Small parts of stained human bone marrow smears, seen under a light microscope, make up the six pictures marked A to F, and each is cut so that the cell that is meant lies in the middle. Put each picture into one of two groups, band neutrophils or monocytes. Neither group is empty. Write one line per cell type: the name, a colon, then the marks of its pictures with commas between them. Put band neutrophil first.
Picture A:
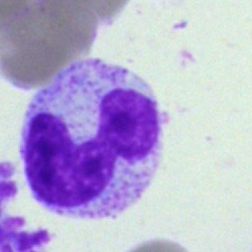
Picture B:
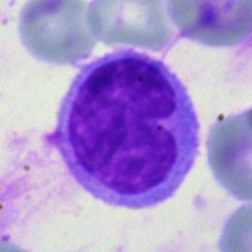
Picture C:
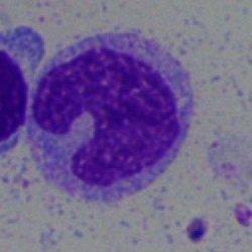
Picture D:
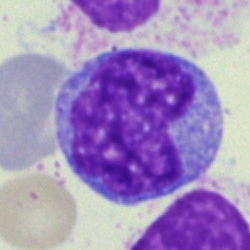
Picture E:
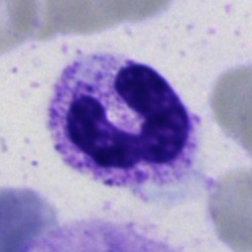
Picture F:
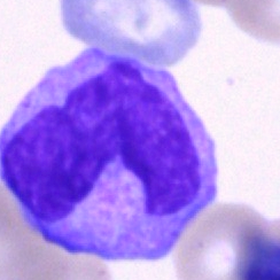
band neutrophil: A, E
monocyte: B, C, D, F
